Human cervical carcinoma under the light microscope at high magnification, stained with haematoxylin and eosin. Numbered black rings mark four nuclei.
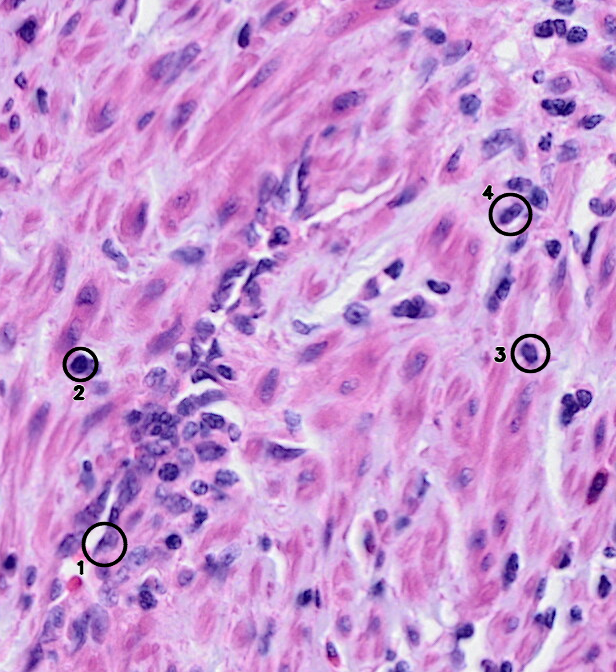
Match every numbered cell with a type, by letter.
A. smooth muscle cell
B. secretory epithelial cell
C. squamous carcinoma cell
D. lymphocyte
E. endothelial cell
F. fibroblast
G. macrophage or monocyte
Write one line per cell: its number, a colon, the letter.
1: E
2: D
3: D
4: D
